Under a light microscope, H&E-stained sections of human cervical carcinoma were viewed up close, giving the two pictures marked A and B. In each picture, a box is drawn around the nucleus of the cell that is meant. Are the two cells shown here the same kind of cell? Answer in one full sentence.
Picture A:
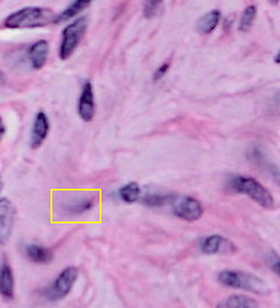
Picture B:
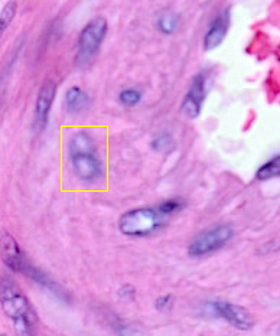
Yes, both cells are smooth muscle cells.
